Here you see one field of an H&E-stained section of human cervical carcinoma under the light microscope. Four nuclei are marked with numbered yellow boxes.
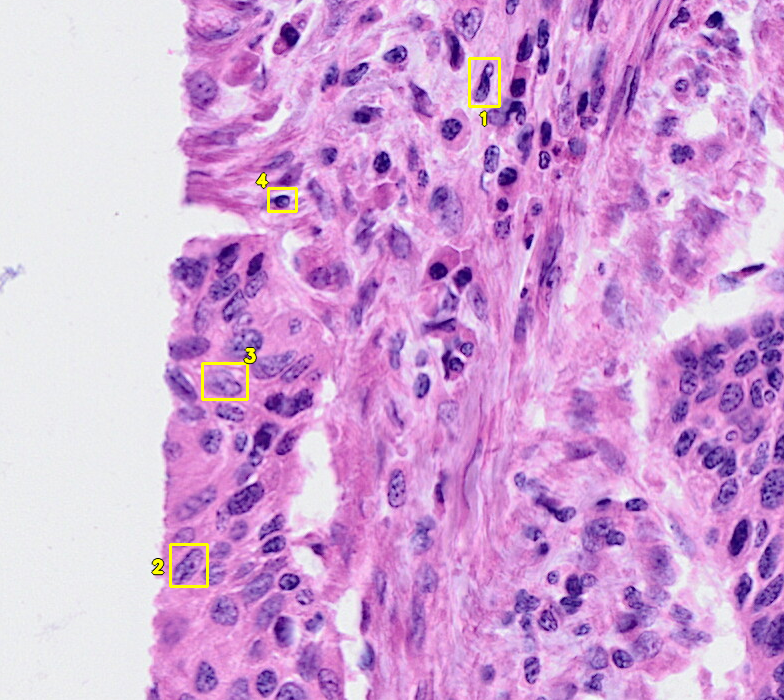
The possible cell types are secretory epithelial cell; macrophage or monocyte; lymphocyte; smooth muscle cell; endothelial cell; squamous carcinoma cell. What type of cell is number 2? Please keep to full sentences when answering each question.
Number 2 among the marked cells is a squamous carcinoma cell.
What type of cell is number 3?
The cell identified by number 3 is a squamous carcinoma cell.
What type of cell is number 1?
Cell 1 in the field of view is a lymphocyte.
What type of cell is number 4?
Of the numbered cells, the one labelled 4 is a lymphocyte.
